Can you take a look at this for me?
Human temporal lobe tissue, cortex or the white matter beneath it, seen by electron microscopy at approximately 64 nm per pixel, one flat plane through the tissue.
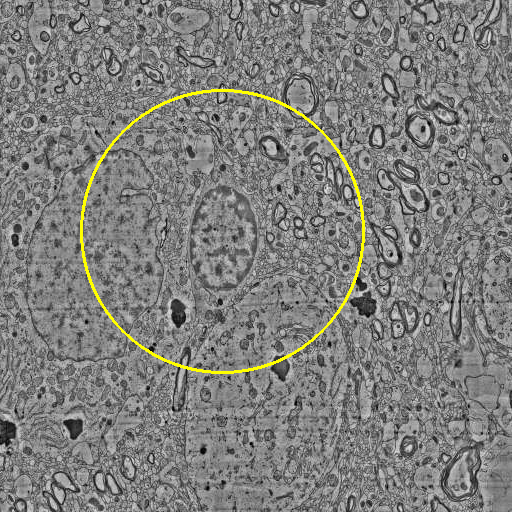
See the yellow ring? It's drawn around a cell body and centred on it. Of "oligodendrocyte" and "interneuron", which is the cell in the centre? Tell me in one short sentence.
The one in the centre is an oligodendrocyte.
